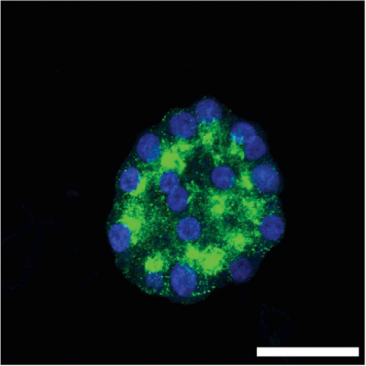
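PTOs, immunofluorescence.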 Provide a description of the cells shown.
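Round blue nuclei are arranged mostly around its periphery, with a few toward the centre. Bright green granular staining fills the cytoplasm between the nuclei, forming patchy brighter clumps in the interior. The outline of the cluster is smooth and compact.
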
